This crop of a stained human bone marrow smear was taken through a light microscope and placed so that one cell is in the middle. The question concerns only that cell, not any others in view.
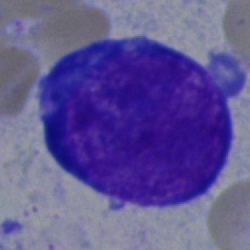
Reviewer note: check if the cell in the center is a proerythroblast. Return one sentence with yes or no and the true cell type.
Yes, the central cell here is a proerythroblast.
